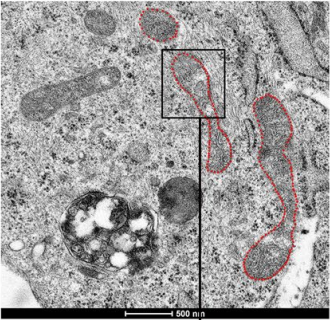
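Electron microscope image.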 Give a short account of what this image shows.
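An electron micrograph of cell cytoplasm shows several long, large mitochondria, some outlined by red dotted lines, among granular cytoplasm. Inner membrane folds run across them but are irregular in places, and a membrane-bound vacuole with pale, fragmented contents lies at lower left.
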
